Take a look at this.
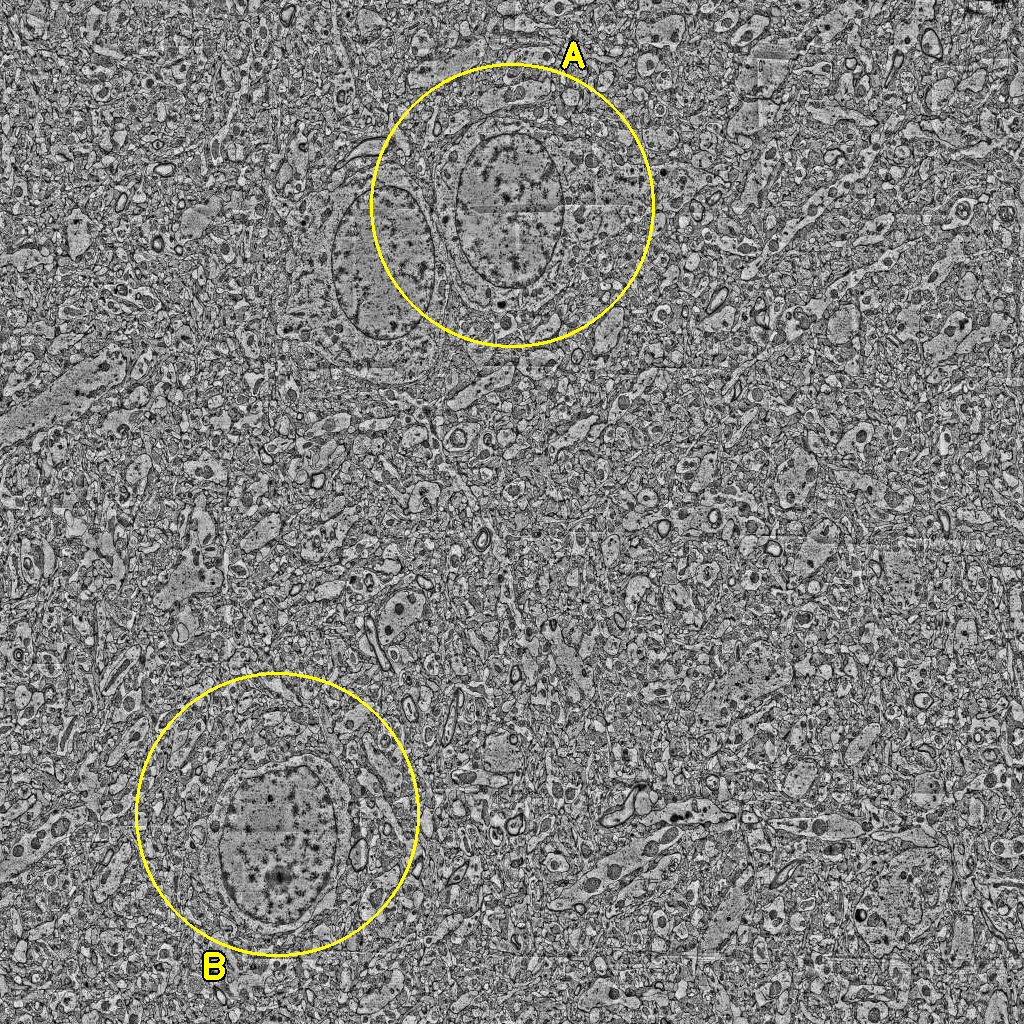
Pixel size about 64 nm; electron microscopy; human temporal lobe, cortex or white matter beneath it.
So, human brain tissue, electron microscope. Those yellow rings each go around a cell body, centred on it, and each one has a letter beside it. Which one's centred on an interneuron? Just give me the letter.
B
